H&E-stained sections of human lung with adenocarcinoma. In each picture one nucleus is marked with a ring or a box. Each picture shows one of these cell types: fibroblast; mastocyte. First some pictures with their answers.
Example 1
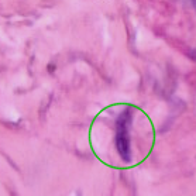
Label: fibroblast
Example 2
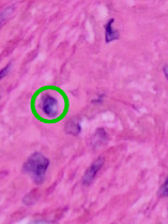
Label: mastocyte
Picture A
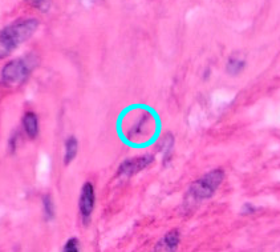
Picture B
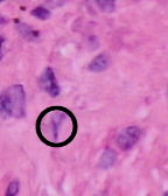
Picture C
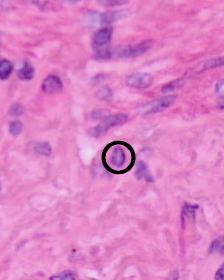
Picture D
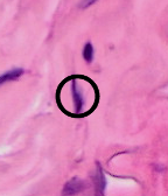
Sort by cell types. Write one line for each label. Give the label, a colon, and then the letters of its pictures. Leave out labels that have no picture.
fibroblast: A, B, D
mastocyte: C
